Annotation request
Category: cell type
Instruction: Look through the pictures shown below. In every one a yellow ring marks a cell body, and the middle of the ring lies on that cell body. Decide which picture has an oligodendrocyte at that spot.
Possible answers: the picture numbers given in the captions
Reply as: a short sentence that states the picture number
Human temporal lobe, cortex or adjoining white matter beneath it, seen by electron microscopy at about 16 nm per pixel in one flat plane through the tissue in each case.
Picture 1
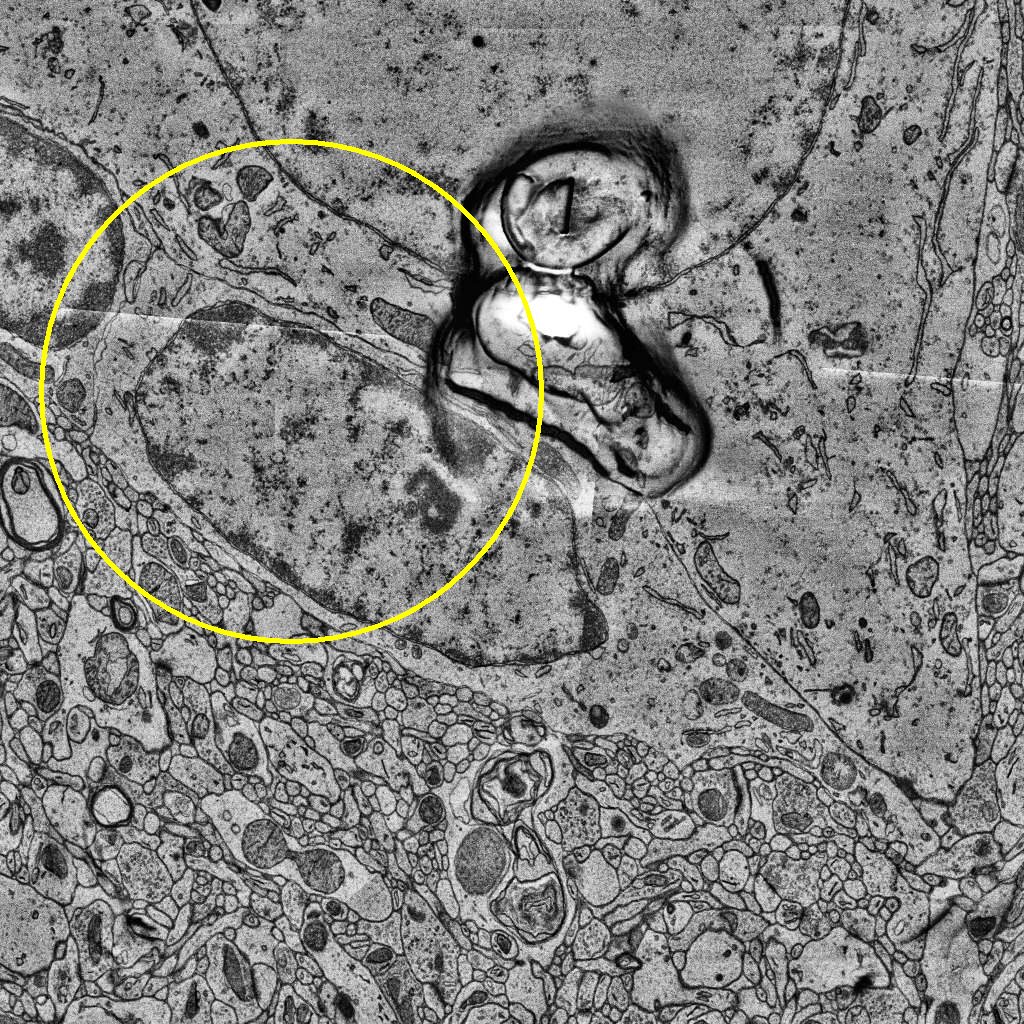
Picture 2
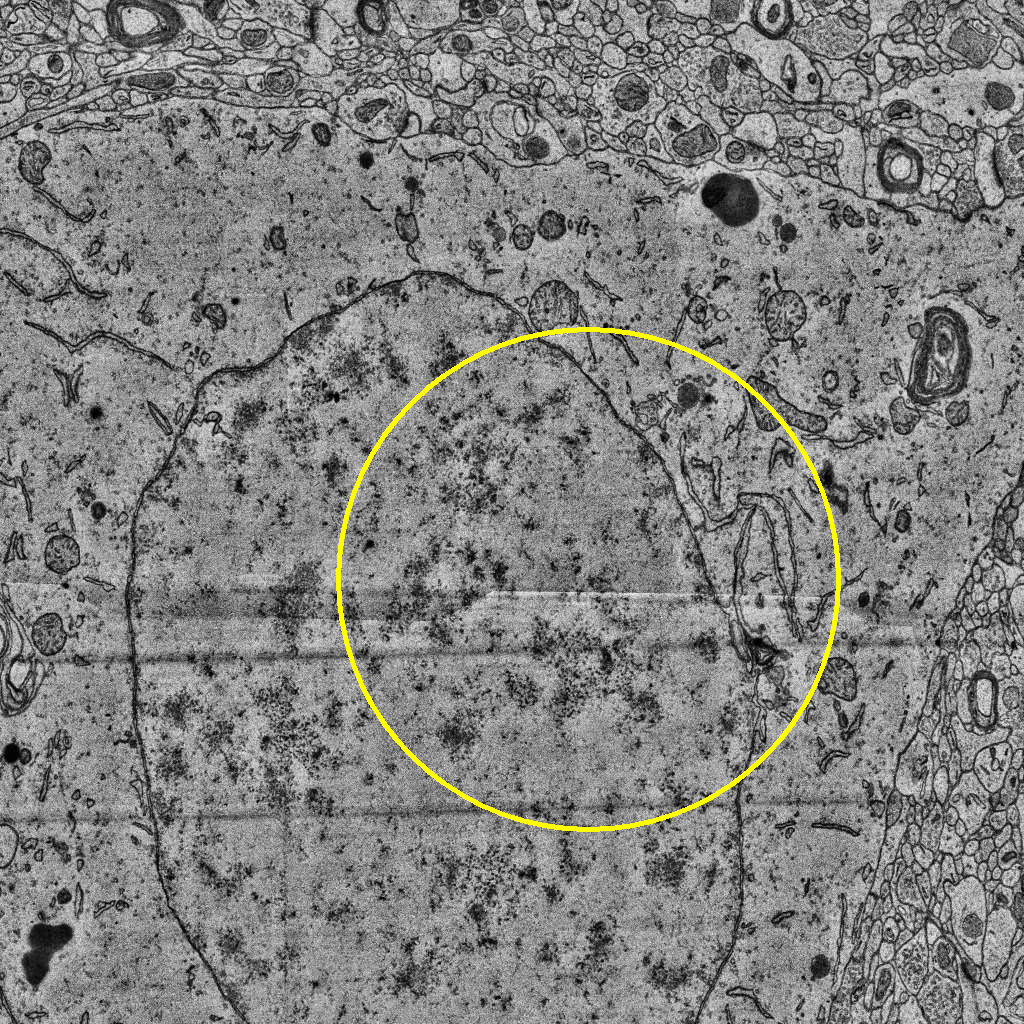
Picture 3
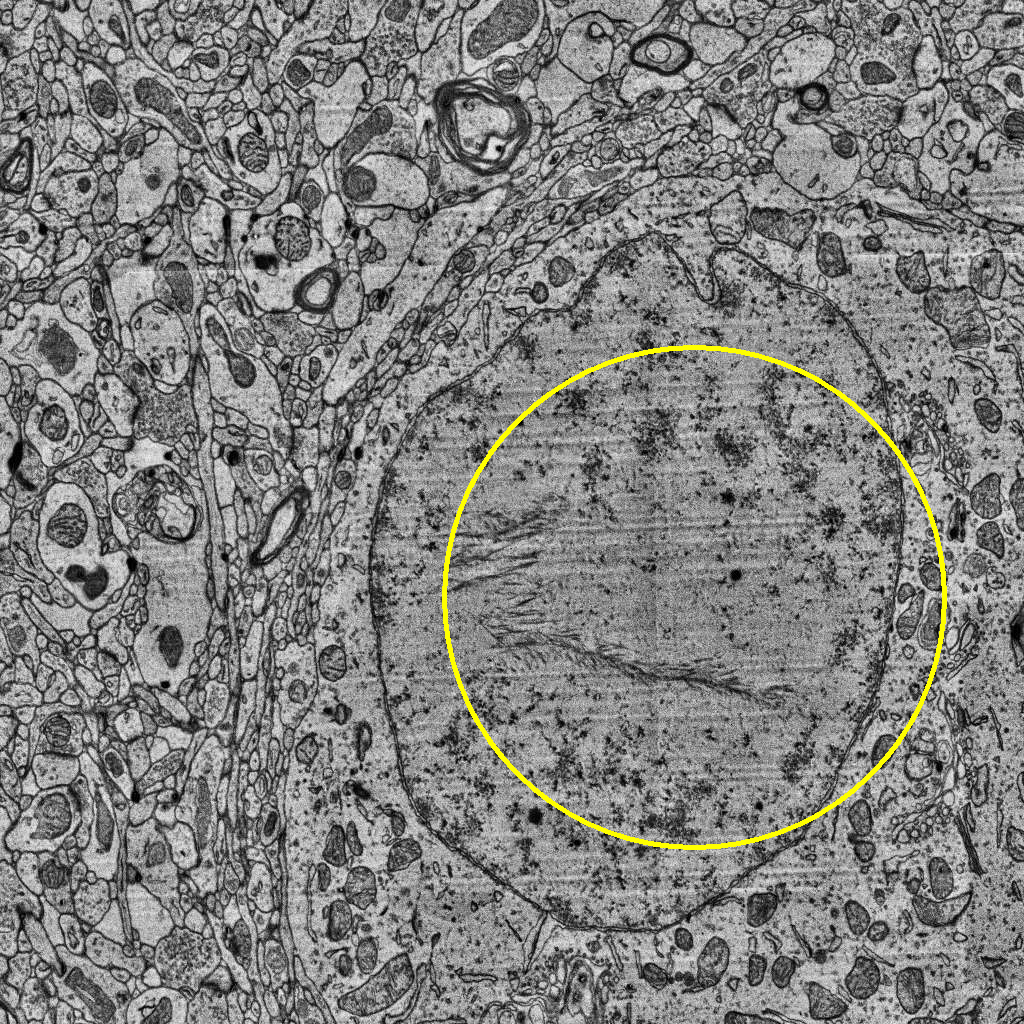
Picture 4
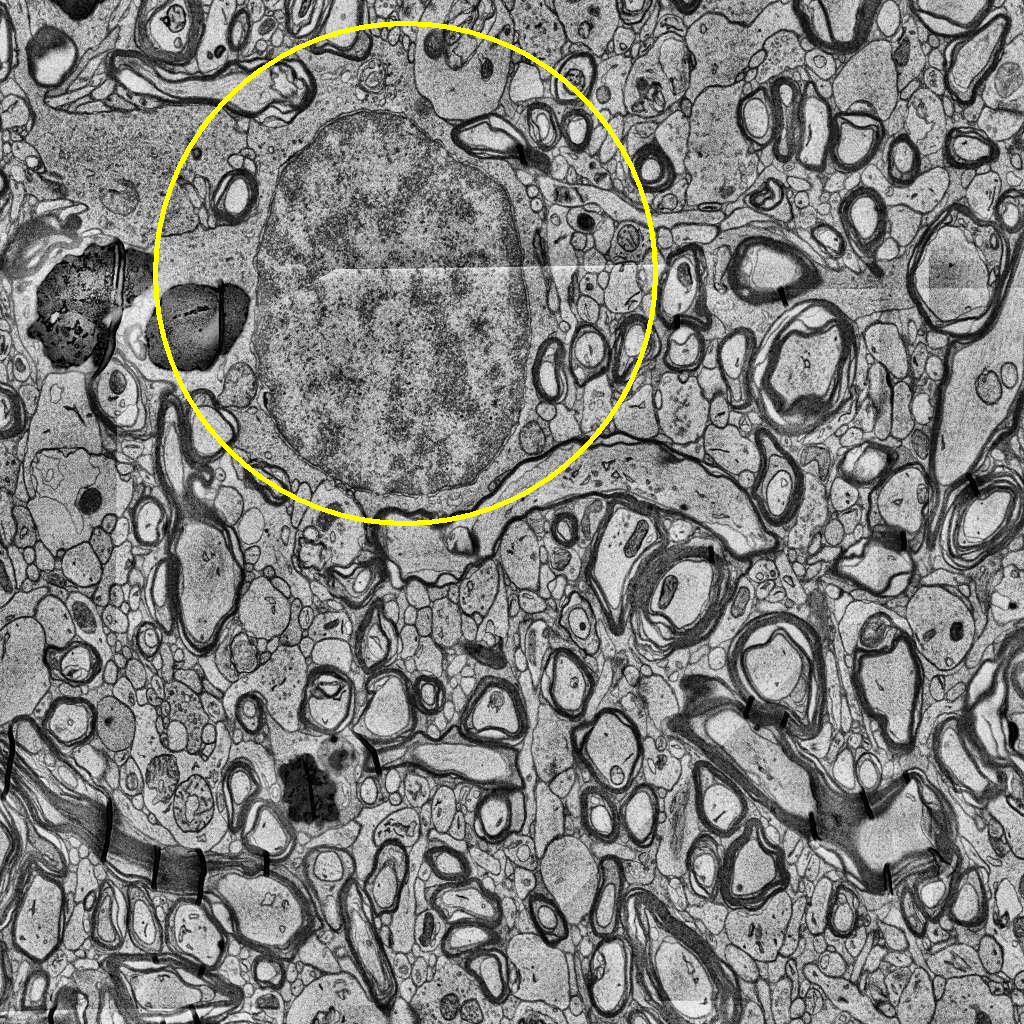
It is in Picture 4.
